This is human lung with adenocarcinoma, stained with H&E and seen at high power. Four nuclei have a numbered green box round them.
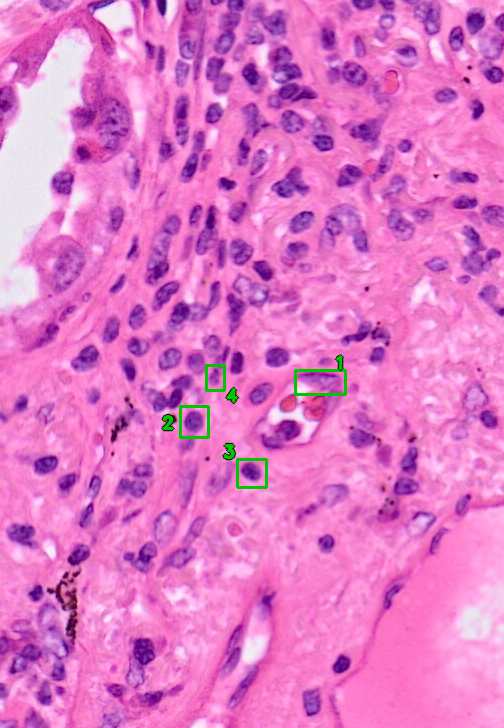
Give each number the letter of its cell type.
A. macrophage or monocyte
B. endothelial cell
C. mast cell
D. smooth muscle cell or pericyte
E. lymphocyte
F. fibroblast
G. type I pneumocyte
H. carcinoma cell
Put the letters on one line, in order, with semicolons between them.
B; E; E; E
